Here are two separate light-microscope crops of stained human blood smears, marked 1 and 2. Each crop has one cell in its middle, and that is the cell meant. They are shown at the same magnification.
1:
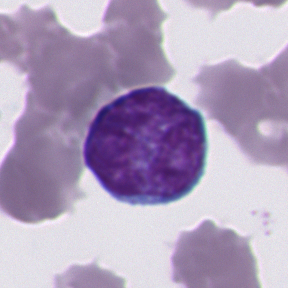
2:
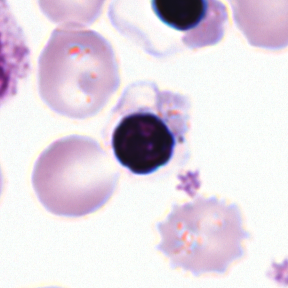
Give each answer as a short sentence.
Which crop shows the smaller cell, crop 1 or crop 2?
Crop 2 holds the smaller cell, since the cell in crop 1 covers about 3 times as much area.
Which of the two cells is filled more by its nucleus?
In crop 1 the nucleus takes up the larger part of its cell.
